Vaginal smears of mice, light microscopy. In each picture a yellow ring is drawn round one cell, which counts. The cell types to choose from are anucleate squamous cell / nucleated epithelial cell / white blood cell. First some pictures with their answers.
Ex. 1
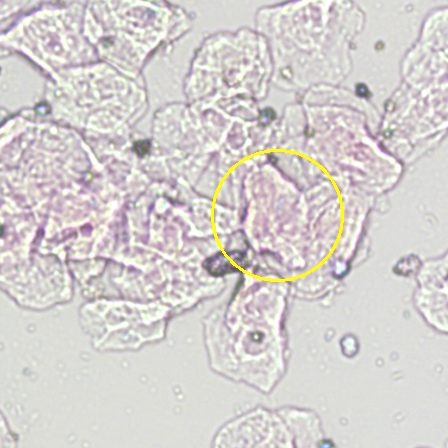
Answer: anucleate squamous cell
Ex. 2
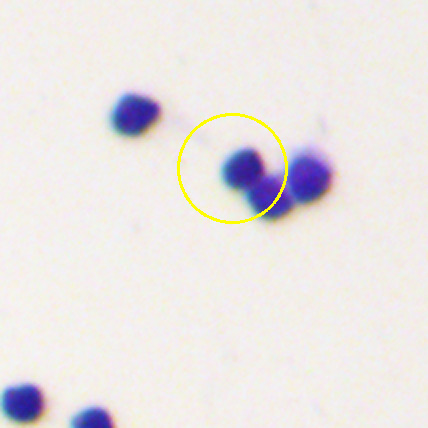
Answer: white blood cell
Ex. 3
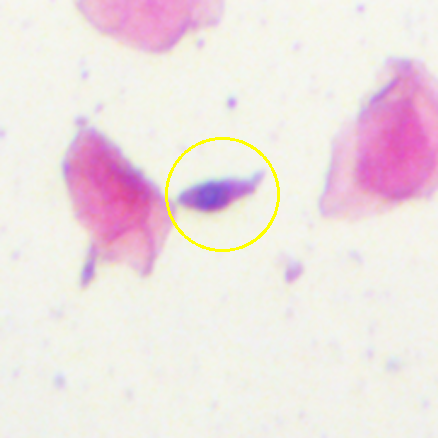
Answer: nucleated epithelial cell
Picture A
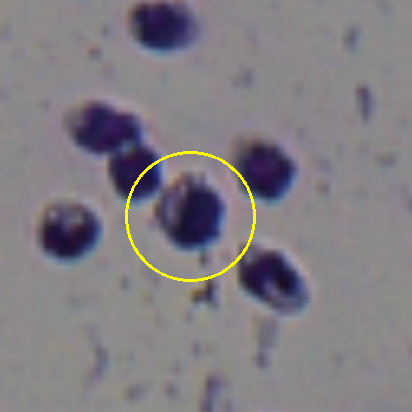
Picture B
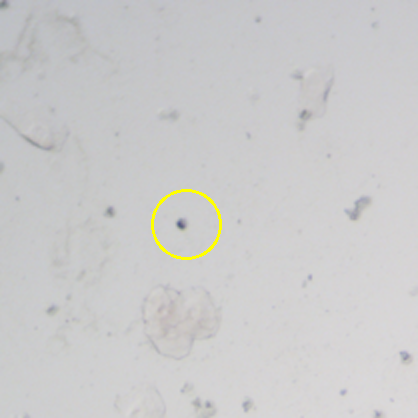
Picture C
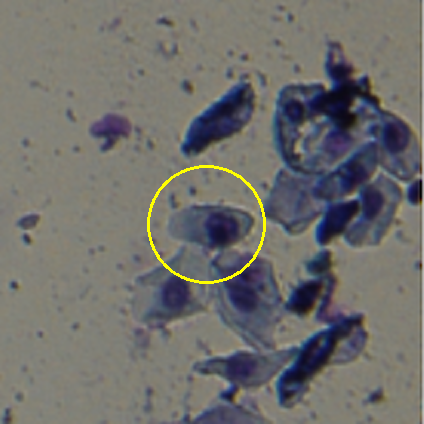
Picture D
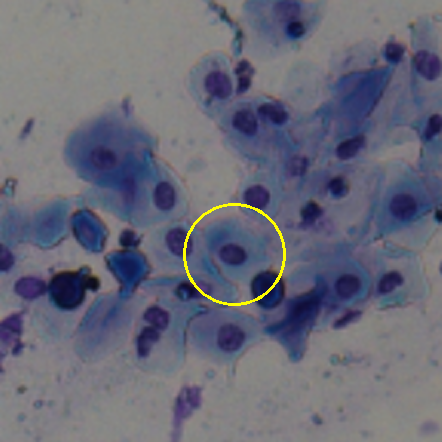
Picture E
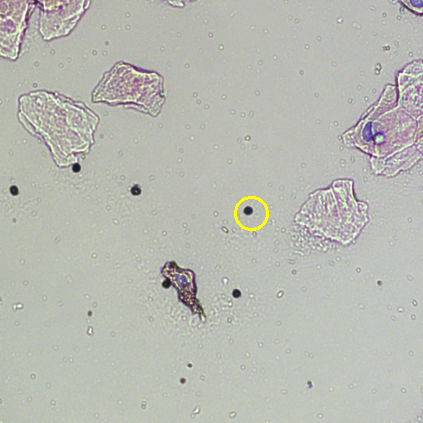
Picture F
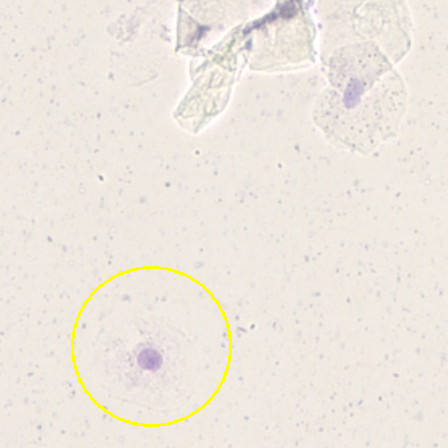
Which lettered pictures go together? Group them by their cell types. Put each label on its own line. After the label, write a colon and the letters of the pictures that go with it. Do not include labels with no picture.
nucleated epithelial cell: C, D, F
white blood cell: A, B, E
